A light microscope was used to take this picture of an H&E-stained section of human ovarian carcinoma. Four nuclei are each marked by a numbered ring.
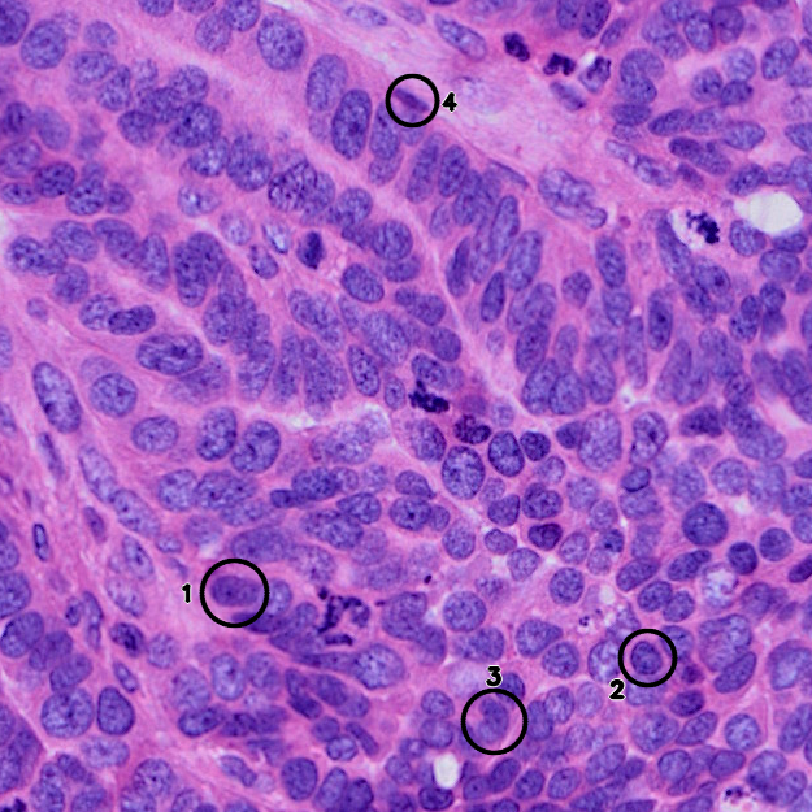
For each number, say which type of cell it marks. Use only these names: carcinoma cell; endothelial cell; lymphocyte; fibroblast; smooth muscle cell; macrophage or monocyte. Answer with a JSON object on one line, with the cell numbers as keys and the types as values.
{"1": "carcinoma cell", "2": "carcinoma cell", "3": "carcinoma cell", "4": "fibroblast"}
